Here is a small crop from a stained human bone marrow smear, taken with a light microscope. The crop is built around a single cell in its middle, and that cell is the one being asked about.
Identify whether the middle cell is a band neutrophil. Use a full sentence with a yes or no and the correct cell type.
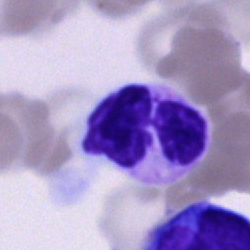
No, that is not a band neutrophil; the middle cell is a segmented neutrophil.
